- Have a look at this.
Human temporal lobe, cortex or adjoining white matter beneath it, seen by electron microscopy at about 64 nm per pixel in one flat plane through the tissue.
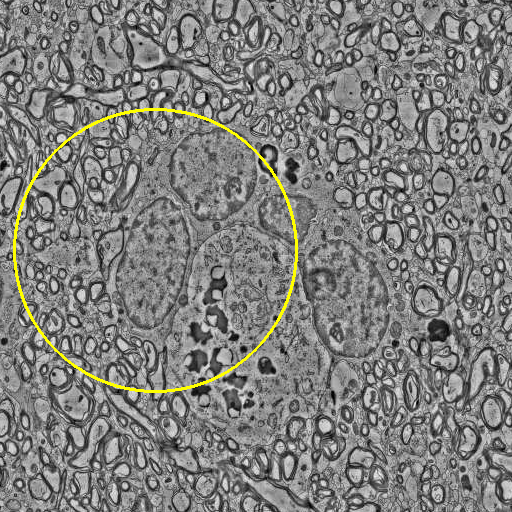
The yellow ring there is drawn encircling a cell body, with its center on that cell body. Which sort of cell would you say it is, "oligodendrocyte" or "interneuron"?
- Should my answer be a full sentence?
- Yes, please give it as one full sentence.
For this picture, an oligodendrocyte is the cell where the yellow ring has its center.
